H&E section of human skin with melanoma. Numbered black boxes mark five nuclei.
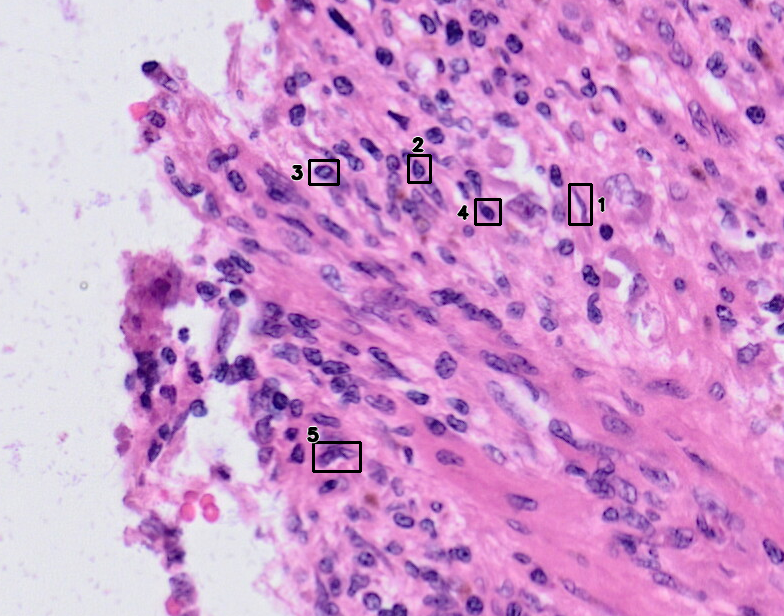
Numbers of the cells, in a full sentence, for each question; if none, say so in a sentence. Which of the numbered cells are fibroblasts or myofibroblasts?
Cell 1 is a fibroblast or myofibroblast, whereas each of the other numbered cells is not.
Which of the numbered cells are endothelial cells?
Where the numbered cells are concerned, only number 5 is an endothelial cell.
